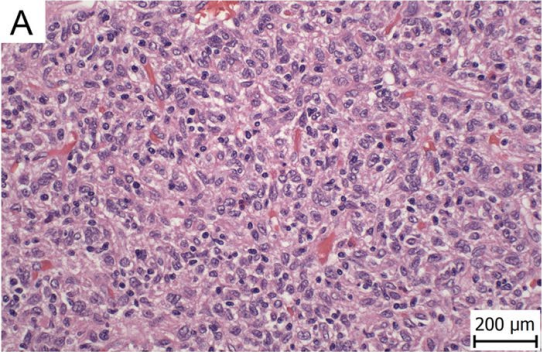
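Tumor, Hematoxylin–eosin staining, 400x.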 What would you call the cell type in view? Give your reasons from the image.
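Sheets of densely packed tumour cells. Cells range from polygonal to elongated, spindle-shaped forms. Oval to elongated nuclei with pale chromatin. That points to this answer: epithelioid to spindled cells.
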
